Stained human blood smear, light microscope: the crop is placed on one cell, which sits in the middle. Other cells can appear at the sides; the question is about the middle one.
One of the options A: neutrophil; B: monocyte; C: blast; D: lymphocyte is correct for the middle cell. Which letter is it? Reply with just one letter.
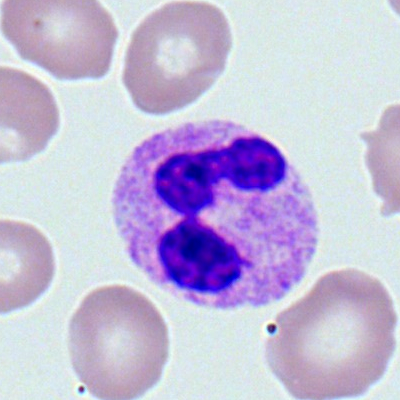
A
